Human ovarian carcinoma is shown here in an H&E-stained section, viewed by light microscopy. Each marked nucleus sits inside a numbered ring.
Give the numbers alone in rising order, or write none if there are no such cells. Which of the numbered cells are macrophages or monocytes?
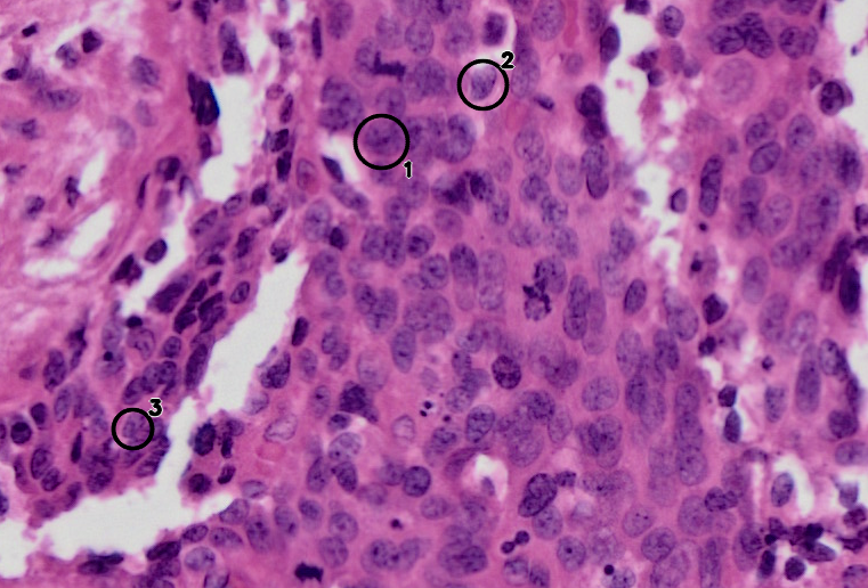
2, 3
